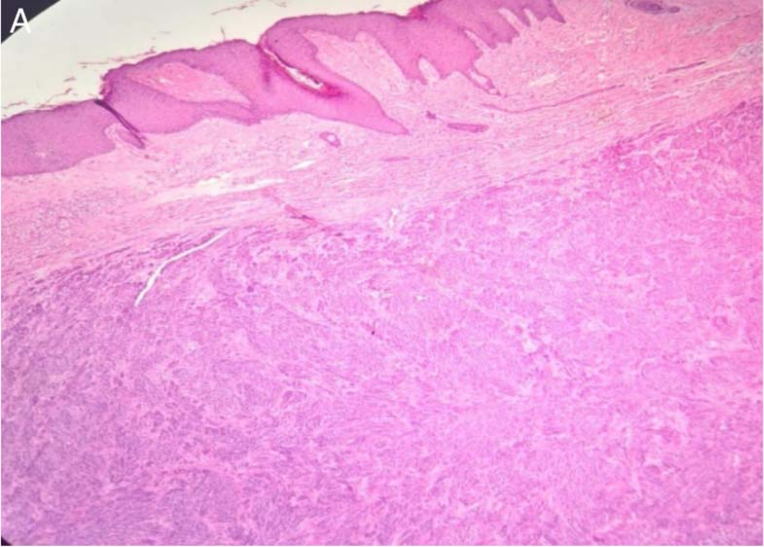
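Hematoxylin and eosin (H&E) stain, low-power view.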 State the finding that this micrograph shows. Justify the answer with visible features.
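A layer of epidermis runs along the top edge. A band of paler dermis separates the epidermis from a dense cellular mass below. The cellular mass fills the lower part of the field without touching the epidermis. That points to this answer: dermal-based tumor with no epidermal connection.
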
